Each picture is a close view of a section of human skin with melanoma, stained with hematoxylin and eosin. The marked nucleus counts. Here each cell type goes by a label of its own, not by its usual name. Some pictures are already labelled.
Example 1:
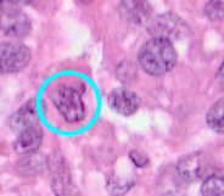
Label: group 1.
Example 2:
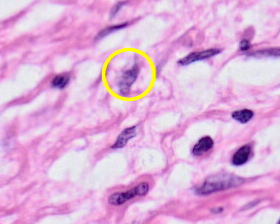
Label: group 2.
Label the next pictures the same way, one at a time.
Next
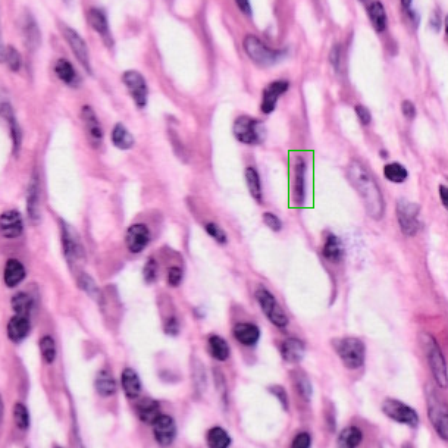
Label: group 2.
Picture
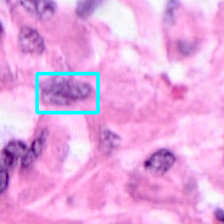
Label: group 1.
